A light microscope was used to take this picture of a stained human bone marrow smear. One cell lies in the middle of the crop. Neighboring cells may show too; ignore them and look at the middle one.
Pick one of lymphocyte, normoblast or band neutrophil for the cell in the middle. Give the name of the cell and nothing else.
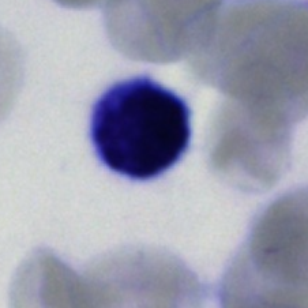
lymphocyte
